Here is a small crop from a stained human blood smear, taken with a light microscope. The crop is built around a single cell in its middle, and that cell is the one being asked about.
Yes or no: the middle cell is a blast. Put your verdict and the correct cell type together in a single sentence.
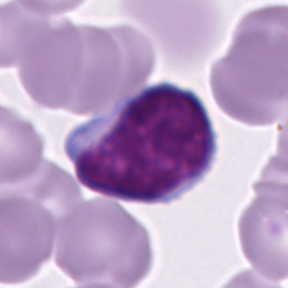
No, the cell sitting in the middle is a lymphocyte, and it is not a blast.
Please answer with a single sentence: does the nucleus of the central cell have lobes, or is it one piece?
Key feature: a single compact nucleus, round, oval or kidney-shaped.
